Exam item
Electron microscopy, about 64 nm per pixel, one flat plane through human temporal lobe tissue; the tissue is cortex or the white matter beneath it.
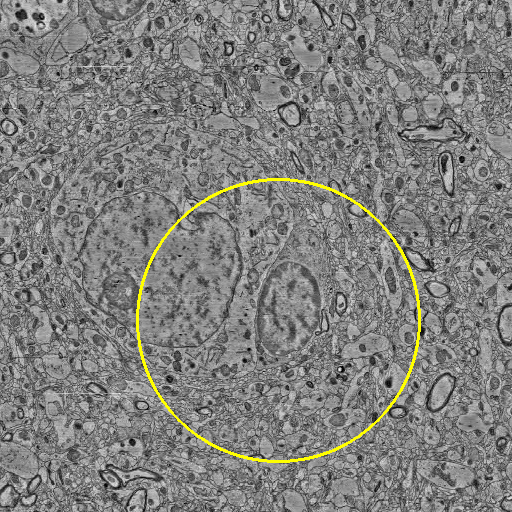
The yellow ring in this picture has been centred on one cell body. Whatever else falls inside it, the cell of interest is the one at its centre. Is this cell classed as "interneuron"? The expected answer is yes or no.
no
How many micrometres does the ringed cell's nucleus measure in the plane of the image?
The ringed cell's nucleus is roughly 6 by 4 micrometres and clearly longer than it is wide in this plane.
